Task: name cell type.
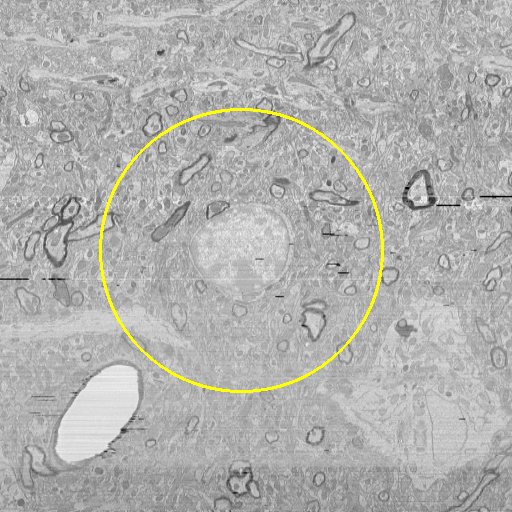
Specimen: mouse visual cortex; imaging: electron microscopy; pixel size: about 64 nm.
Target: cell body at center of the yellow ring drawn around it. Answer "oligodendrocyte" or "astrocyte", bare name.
oligodendrocyte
